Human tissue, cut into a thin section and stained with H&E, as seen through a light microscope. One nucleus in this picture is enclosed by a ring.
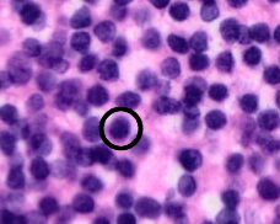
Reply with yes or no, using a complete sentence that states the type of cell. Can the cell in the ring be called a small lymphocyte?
Yes, it is a small lymphocyte that the cell in the ring is.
